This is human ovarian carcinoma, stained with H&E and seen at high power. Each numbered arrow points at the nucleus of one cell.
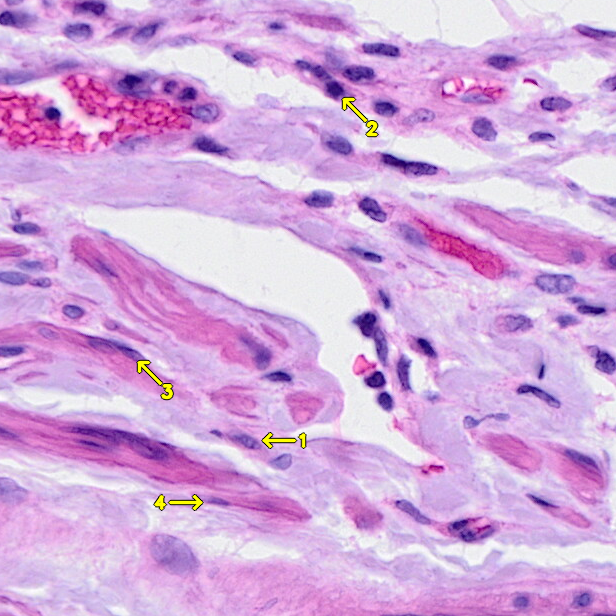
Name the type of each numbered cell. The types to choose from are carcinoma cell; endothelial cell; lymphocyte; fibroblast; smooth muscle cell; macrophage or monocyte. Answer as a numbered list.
1. endothelial cell
2. lymphocyte
3. smooth muscle cell
4. smooth muscle cell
